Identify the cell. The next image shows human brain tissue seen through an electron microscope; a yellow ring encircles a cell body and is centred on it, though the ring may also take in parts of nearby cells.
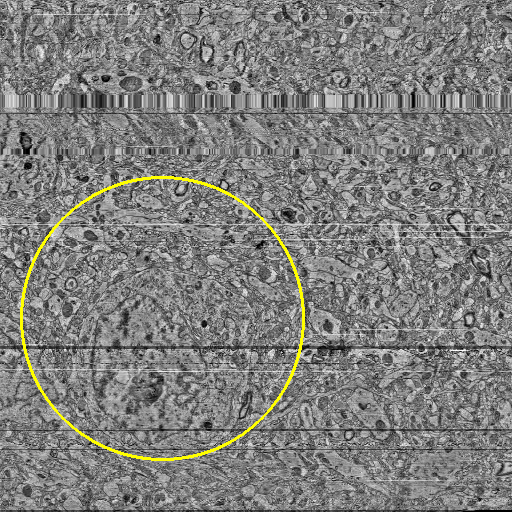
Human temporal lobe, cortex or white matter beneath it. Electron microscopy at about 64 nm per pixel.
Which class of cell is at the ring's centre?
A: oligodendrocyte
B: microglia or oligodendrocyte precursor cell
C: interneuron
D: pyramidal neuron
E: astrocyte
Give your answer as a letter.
C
